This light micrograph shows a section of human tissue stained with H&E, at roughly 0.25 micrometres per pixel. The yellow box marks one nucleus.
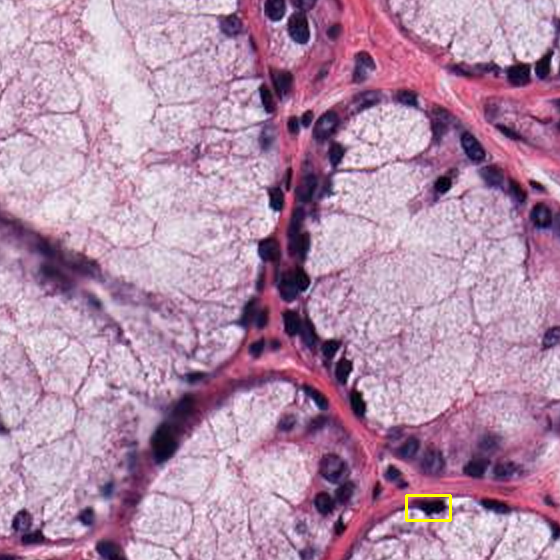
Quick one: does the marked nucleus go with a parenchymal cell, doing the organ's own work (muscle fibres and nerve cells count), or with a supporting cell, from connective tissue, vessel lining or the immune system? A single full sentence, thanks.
The parenchymal cell to which the marked nucleus belongs is a mucous gland cell.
